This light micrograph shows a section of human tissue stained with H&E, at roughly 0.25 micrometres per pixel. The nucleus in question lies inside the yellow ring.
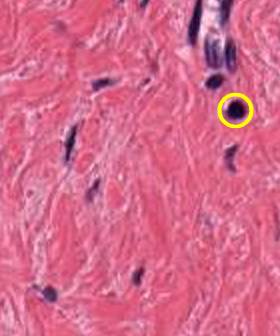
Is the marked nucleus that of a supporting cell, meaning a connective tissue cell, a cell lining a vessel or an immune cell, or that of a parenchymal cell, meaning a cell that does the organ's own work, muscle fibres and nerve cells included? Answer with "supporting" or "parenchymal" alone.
supporting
